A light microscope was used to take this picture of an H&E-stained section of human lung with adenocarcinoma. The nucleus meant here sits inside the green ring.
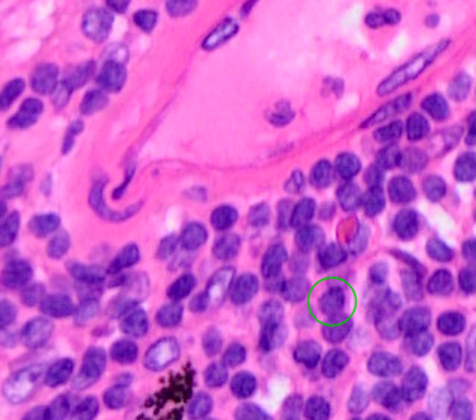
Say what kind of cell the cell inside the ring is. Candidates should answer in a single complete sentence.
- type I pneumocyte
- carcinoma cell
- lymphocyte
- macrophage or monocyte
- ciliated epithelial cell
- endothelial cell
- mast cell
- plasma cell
Microscopically, the cell inside the ring is categorized as a lymphocyte.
